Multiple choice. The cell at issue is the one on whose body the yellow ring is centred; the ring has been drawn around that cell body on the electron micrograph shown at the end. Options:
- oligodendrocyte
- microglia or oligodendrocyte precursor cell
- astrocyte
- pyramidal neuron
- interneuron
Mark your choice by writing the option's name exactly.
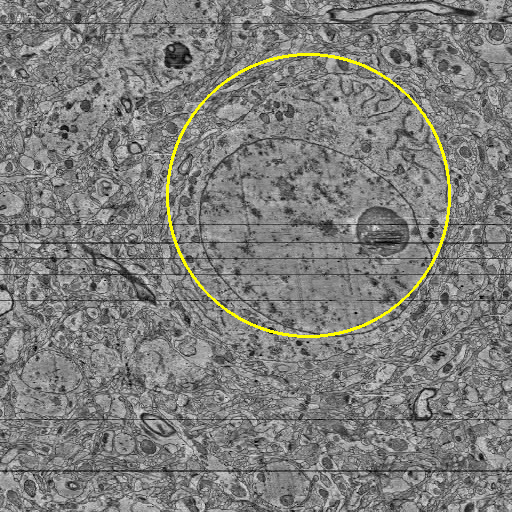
pyramidal neuron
